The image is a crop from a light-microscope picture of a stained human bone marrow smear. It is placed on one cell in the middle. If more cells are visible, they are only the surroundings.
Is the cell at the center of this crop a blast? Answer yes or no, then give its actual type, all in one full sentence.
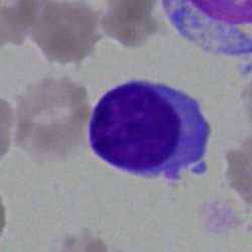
No, in this crop the middle cell is a lymphocyte, not a blast.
